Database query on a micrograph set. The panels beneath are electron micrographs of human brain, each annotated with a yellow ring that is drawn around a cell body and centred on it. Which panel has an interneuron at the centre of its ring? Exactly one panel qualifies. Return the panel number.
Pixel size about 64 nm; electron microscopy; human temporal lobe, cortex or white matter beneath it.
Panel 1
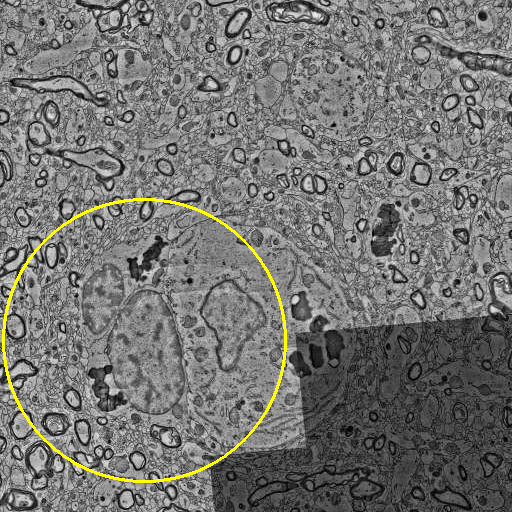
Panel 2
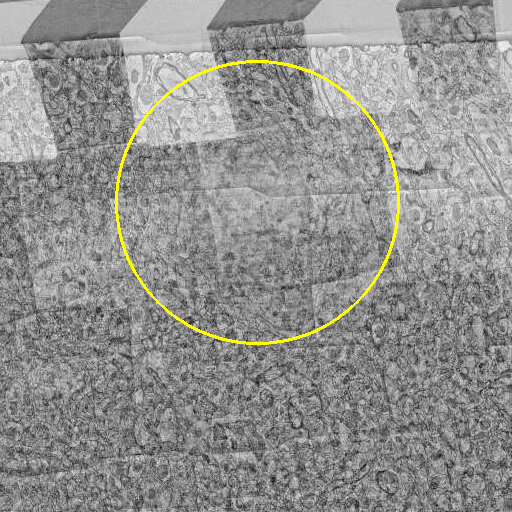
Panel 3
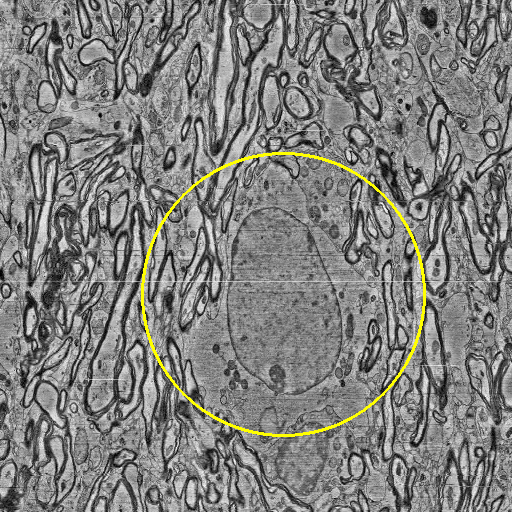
2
